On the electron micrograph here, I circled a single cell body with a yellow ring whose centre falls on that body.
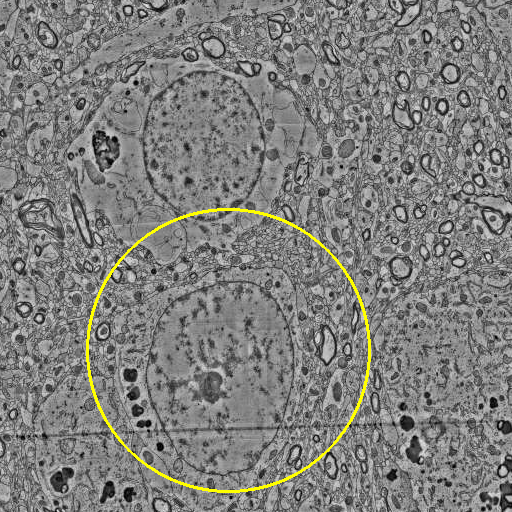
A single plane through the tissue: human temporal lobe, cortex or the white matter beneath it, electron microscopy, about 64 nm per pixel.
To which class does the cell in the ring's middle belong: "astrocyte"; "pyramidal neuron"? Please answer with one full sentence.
In this picture, the cell body circled at the ring's centre belongs to a pyramidal neuron.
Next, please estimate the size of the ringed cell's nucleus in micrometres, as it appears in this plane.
In this plane, approximately 13 by 9 micrometers.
